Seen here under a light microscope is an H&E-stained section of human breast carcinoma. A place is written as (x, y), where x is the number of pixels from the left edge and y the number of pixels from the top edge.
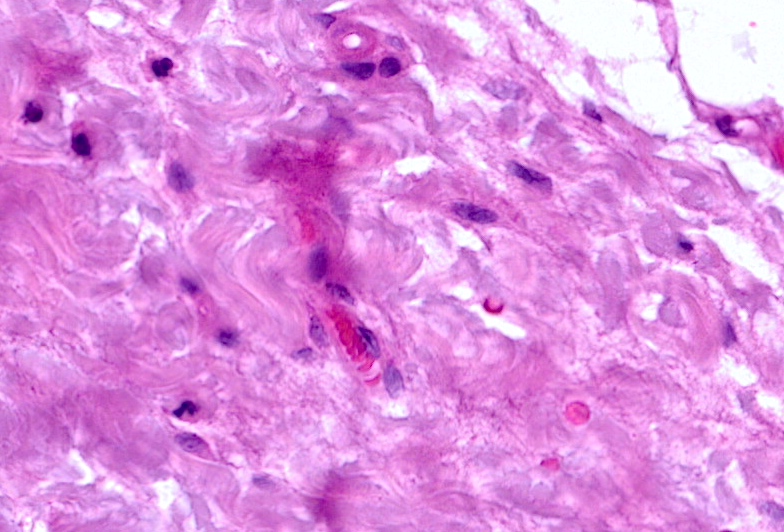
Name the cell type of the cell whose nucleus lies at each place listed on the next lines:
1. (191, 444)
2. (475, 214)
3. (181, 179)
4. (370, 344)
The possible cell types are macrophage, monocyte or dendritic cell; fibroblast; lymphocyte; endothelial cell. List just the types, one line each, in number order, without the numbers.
fibroblast
fibroblast
fibroblast
endothelial cell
